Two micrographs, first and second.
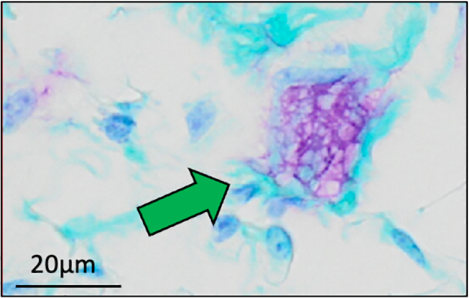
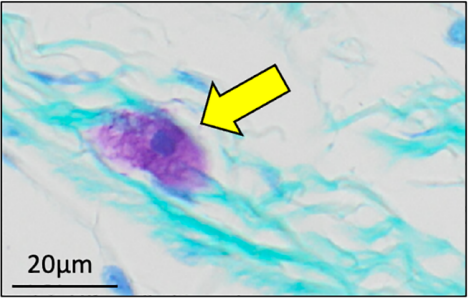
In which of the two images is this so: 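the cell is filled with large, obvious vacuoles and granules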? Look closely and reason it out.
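The first image. First image: the arrowed purple cell shows a coarse network of large pale vacuoles and purple strands. Second image: the arrowed purple cell has dense, smooth purple cytoplasm without obvious vacuoles.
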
